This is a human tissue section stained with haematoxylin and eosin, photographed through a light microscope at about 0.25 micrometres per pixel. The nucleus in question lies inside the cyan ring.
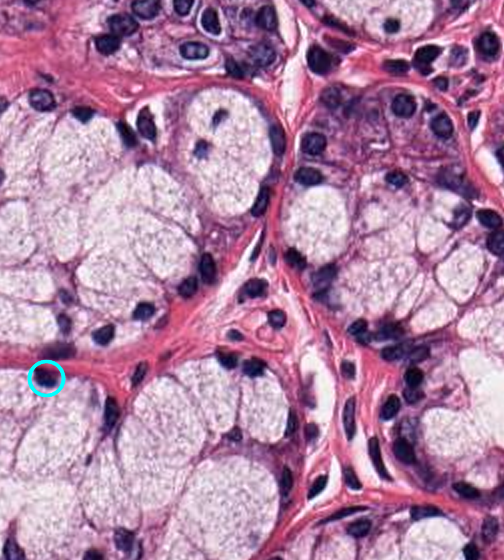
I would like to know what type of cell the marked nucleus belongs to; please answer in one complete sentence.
The cell containing the marked nucleus is a mucous gland cell.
